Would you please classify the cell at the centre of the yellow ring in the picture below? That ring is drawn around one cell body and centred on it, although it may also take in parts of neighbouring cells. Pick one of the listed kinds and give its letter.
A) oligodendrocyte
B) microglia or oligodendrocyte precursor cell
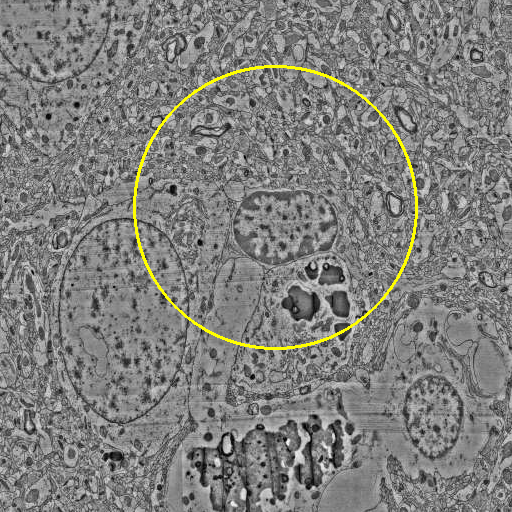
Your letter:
B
